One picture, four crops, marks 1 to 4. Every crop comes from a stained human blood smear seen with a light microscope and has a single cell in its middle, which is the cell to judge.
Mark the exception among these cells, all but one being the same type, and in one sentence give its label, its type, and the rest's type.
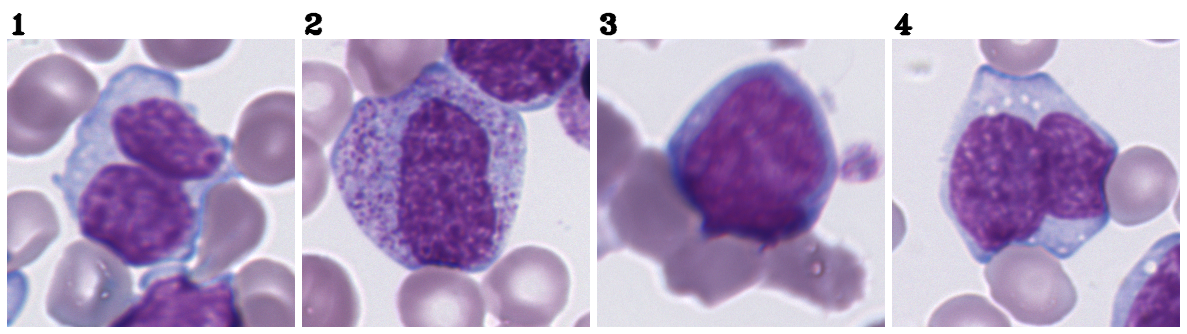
Just crop 2 is a promyelocyte; all the other crops show blasts.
